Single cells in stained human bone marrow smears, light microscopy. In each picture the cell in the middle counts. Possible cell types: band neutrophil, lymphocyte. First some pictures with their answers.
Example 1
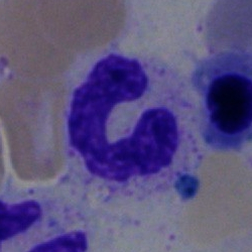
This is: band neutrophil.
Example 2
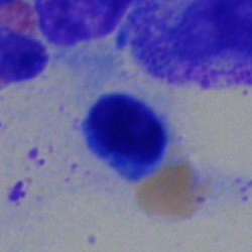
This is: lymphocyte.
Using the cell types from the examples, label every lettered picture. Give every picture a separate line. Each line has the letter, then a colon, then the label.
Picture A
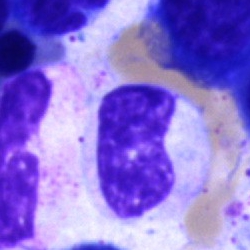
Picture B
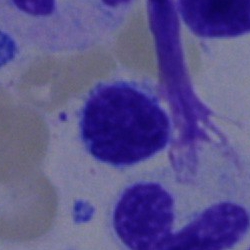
A: band neutrophil.
B: lymphocyte.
